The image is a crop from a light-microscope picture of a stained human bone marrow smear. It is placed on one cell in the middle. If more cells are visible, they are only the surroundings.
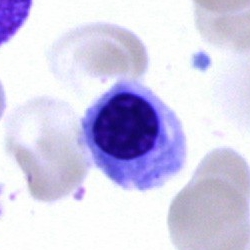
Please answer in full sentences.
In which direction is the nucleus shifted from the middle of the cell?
The nucleus sits off-centre, toward the upper left.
